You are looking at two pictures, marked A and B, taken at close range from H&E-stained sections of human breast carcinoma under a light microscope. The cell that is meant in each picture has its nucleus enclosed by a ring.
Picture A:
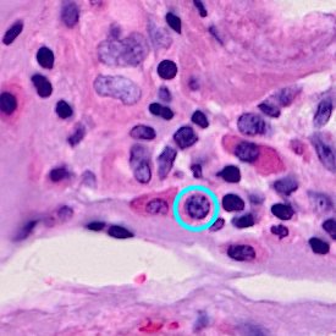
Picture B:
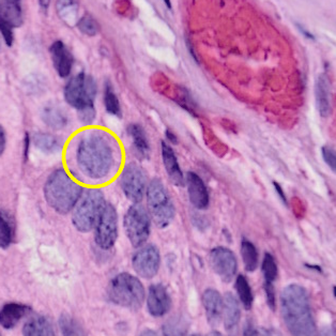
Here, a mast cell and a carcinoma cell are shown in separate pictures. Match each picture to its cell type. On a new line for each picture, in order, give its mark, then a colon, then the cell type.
A: mast cell
B: carcinoma cell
